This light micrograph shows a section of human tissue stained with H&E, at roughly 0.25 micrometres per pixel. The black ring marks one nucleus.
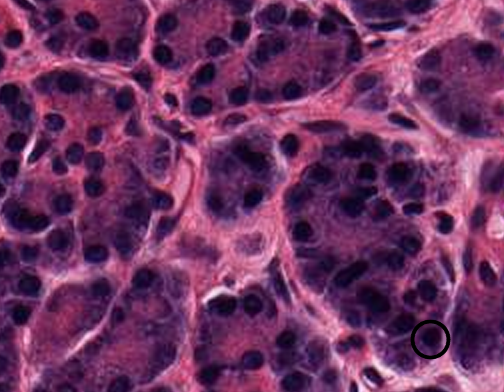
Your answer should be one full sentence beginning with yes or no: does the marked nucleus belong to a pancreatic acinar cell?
Yes, the cell to which the marked nucleus belongs is a pancreatic acinar cell.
